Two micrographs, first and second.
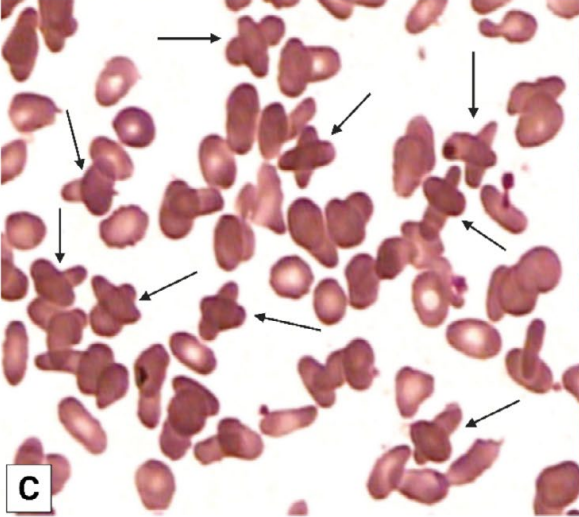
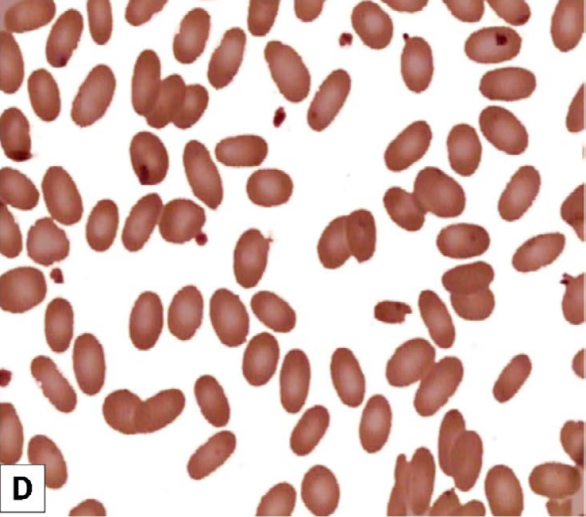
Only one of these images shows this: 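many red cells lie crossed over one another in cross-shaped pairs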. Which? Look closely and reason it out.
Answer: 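Second image: oval red cells lie mostly singly, without cross-shaped overlaps. First image: numerous red cells overlap at right angles, forming cross shapes.
Hence: the first image.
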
